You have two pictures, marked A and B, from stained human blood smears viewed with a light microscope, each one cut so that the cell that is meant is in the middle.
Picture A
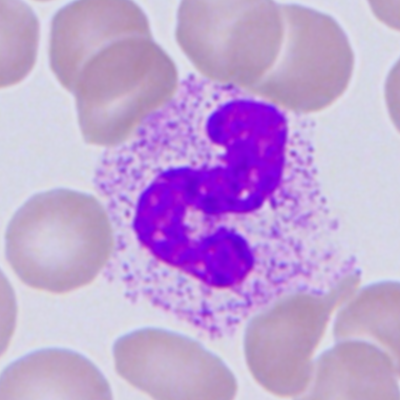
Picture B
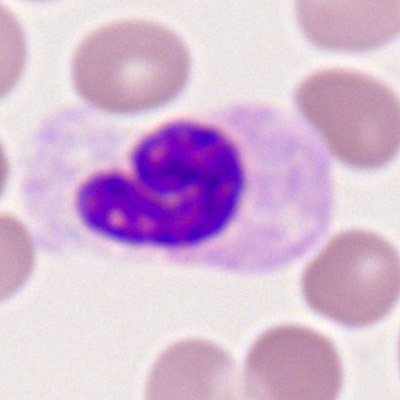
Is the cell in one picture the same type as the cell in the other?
yes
